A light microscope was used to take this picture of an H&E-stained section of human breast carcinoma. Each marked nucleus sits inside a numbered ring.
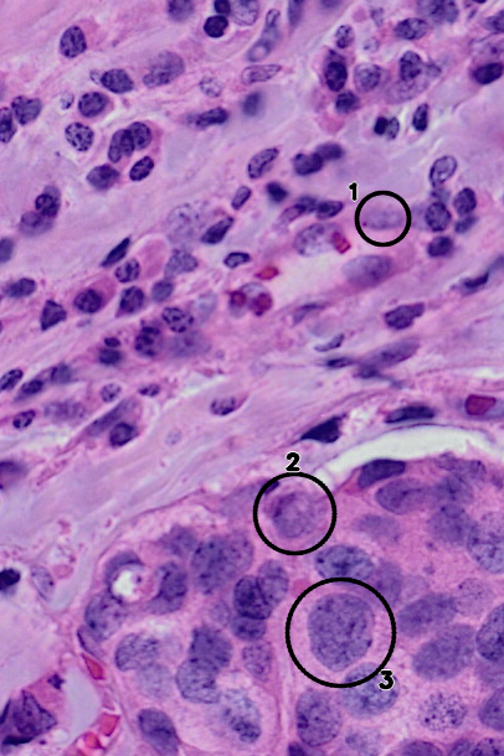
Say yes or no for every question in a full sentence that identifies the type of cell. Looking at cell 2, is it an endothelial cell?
No, cell 2 is correctly identified as a carcinoma cell and not as an endothelial cell.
